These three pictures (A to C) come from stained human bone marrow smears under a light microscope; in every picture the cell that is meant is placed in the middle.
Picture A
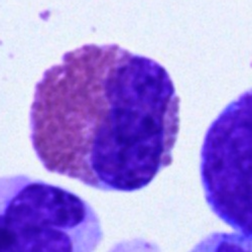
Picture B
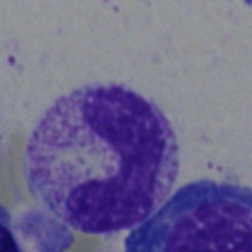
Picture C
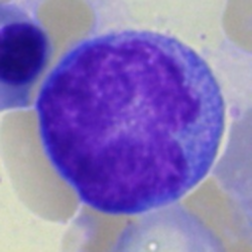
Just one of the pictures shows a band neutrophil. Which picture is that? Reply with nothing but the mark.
B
